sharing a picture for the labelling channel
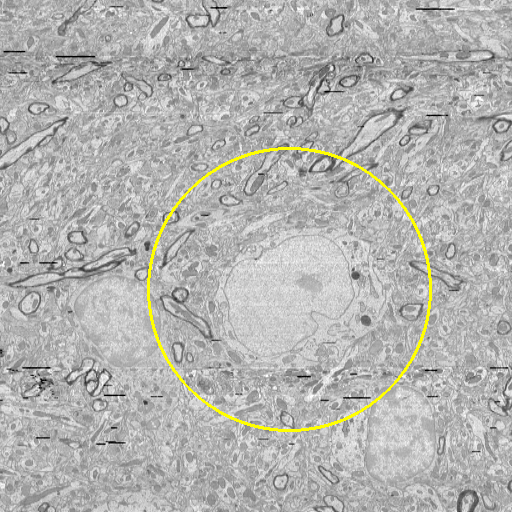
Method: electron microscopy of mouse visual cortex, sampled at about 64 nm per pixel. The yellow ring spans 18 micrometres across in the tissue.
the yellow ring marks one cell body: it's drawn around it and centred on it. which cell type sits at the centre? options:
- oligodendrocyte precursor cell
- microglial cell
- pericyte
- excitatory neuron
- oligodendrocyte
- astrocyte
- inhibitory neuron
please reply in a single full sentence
In the picture, the cell at the ring's centre is an excitatory neuron, going by the list.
